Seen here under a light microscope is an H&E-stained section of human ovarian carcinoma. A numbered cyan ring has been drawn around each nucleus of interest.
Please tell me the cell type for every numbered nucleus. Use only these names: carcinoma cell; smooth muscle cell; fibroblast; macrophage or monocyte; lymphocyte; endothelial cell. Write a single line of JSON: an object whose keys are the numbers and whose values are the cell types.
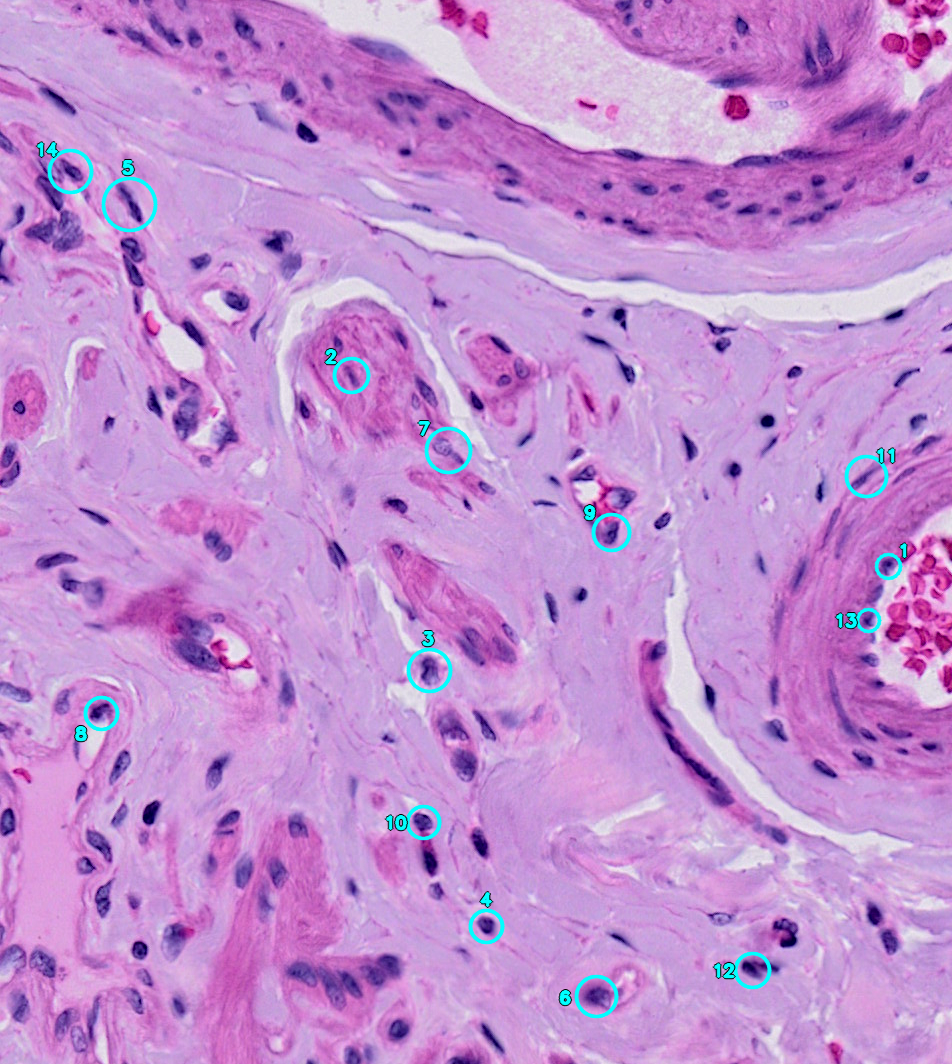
{"1": "endothelial cell", "2": "smooth muscle cell", "3": "macrophage or monocyte", "4": "lymphocyte", "5": "fibroblast", "6": "endothelial cell", "7": "smooth muscle cell", "8": "endothelial cell", "9": "endothelial cell", "10": "lymphocyte", "11": "smooth muscle cell", "12": "fibroblast", "13": "endothelial cell", "14": "endothelial cell"}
